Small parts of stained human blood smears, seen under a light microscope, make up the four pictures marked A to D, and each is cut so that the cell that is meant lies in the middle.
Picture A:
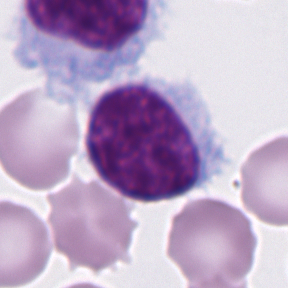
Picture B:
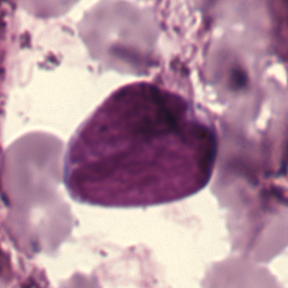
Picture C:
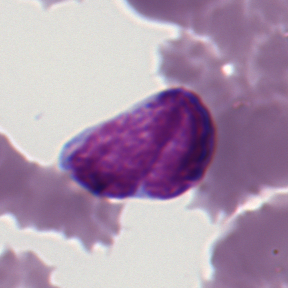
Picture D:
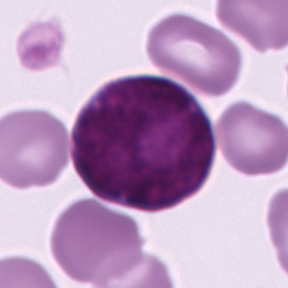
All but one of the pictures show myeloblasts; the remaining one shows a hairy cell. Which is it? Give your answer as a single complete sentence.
The hairy cell is the one in picture A.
